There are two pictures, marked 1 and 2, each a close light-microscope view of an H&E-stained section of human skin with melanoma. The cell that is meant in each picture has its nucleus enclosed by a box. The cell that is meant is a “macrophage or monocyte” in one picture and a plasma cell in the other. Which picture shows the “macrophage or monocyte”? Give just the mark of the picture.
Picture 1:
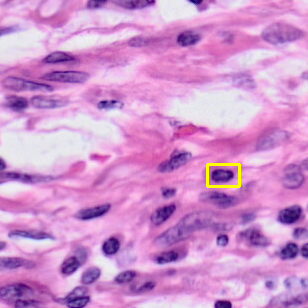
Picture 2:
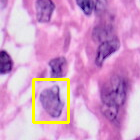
2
